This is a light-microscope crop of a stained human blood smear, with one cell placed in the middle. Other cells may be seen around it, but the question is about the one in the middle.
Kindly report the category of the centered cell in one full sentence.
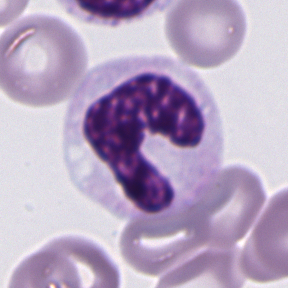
This crop is built around a band neutrophil at its centre.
